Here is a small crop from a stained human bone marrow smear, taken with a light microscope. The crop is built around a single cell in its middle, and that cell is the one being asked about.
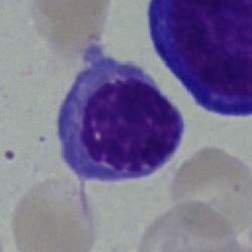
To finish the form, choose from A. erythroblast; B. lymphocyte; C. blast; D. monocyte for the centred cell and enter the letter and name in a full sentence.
The middle cell of the crop is an erythroblast; accordingly, option A is correct.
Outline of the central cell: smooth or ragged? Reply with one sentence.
Not smooth, the outline of the cell is ragged or drawn out into projections.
